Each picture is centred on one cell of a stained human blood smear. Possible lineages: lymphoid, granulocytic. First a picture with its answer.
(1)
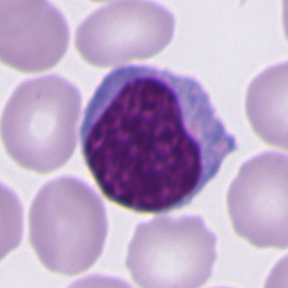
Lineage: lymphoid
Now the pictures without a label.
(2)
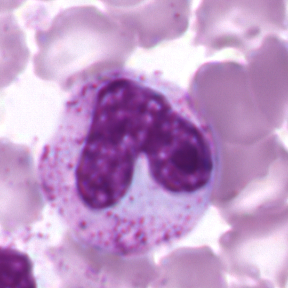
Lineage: granulocytic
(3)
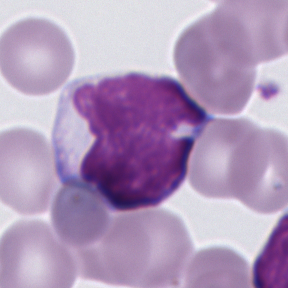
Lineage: lymphoid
